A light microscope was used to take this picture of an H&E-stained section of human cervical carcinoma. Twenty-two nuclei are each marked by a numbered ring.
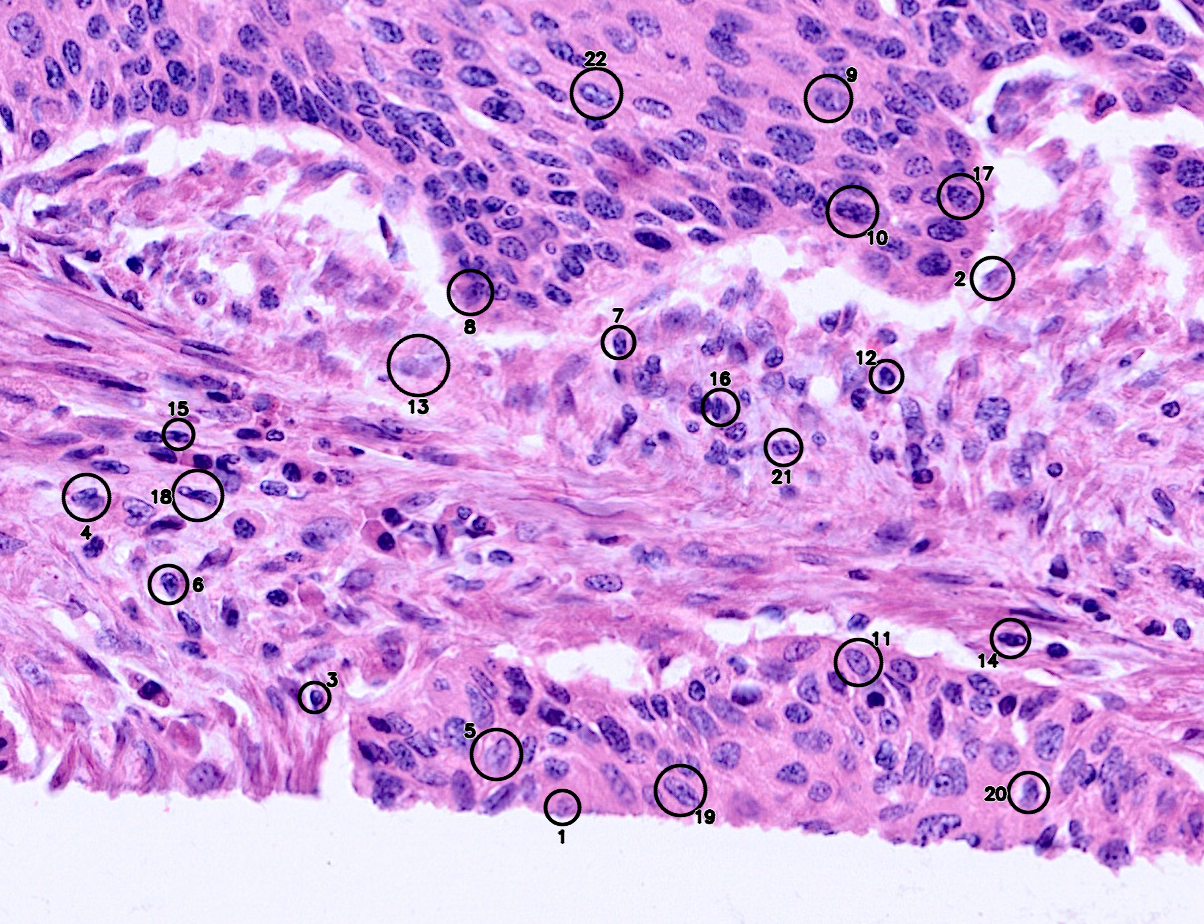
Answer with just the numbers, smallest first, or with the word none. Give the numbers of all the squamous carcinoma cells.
1, 5, 8, 9, 10, 11, 17, 19, 20, 22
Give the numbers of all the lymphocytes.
3, 4, 6, 7, 12, 14, 15, 16, 18, 21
